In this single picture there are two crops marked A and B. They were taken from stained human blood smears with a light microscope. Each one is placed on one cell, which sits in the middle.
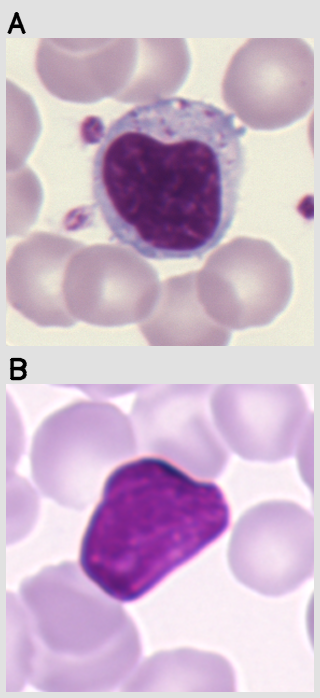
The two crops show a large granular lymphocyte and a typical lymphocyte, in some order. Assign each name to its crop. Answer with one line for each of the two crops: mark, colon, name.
A: large granular lymphocyte
B: typical lymphocyte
